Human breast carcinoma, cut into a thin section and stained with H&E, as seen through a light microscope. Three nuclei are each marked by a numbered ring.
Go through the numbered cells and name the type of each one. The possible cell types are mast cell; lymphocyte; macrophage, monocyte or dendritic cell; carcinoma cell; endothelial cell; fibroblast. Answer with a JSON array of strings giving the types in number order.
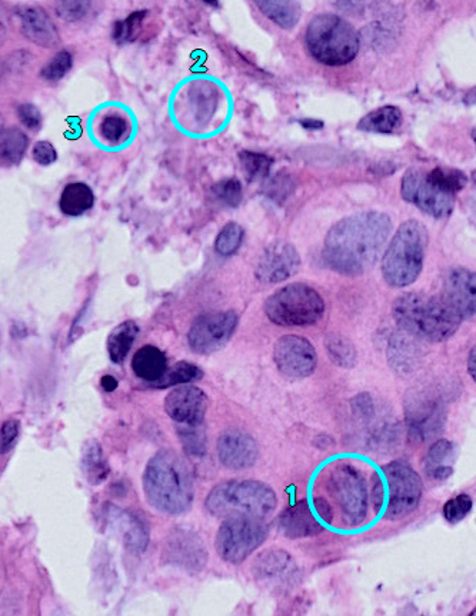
["carcinoma cell", "fibroblast", "lymphocyte"]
